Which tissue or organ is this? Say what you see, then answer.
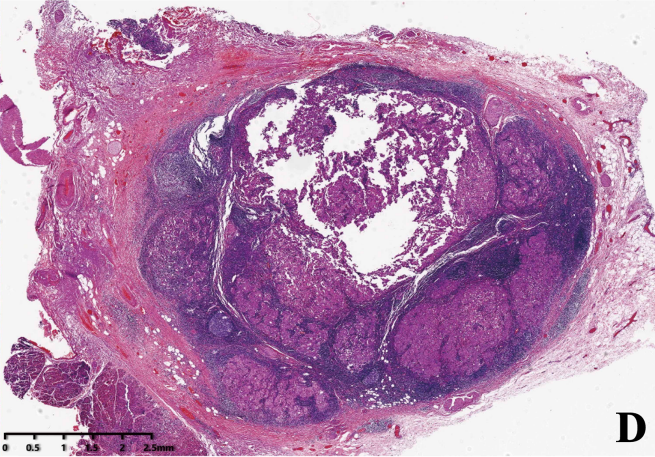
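A rounded structure is enclosed by a fibrous capsule in fatty tissue. A dark blue rim of densely packed small cells lines the periphery.
Lymph node.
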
